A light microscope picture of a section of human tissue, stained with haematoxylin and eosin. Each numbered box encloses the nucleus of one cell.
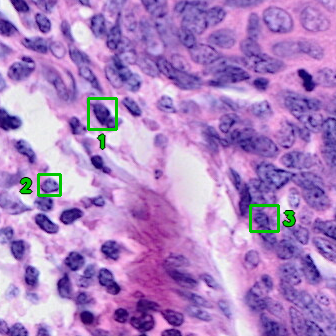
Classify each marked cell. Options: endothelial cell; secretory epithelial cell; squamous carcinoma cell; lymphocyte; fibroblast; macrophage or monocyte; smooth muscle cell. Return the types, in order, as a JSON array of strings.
["lymphocyte", "lymphocyte", "squamous carcinoma cell"]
